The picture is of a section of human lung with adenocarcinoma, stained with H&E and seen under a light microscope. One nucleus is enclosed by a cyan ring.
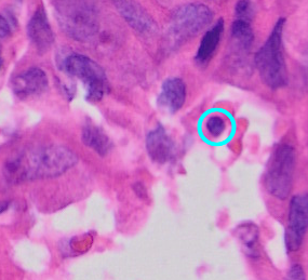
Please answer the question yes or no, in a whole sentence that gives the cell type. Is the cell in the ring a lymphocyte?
Yes, in this field of view, the cell in the ring is a lymphocyte.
